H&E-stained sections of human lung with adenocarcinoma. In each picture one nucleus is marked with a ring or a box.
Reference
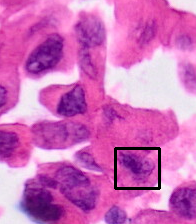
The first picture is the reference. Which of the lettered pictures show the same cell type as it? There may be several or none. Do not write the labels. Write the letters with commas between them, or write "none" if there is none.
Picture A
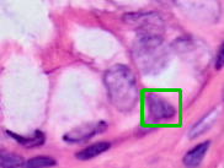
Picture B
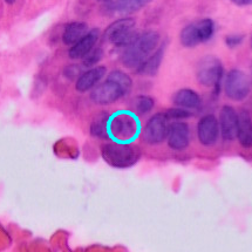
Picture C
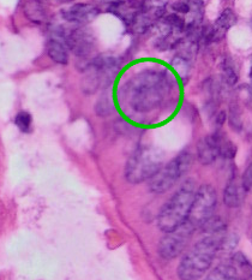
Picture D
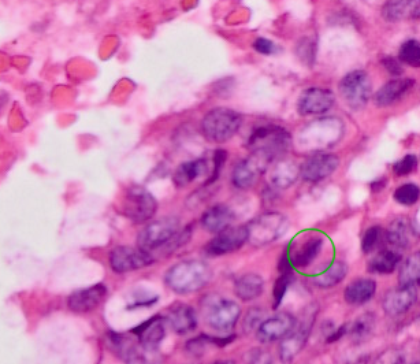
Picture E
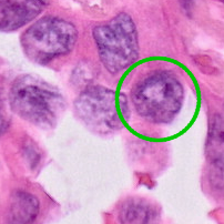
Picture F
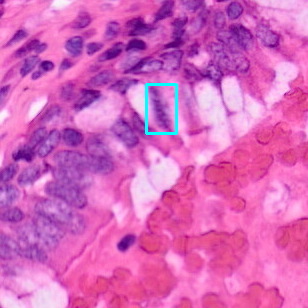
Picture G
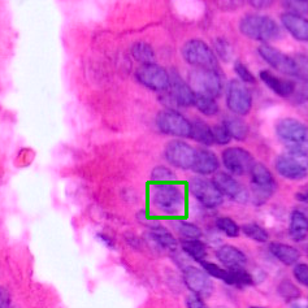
E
